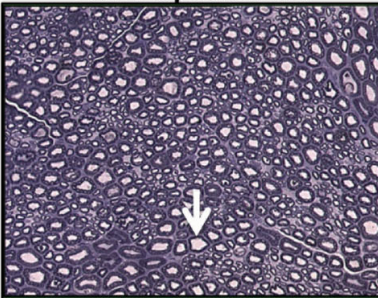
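This cross-section of peripheral nerve shows densely packed myelinated axons, each seen as a round or polygonal pale center surrounded by a dark blue ring of myelin. The fibers vary in size, with many large ones, and lie close together with little dark-stained tissue between them.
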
